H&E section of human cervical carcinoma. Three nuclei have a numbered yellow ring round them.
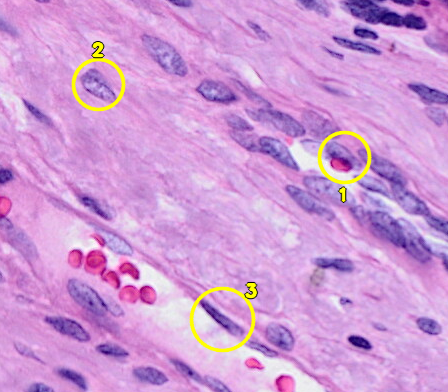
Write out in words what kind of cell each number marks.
Cell 1 is an endothelial cell, cell 2 is a smooth muscle cell and cell 3 is an endothelial cell.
